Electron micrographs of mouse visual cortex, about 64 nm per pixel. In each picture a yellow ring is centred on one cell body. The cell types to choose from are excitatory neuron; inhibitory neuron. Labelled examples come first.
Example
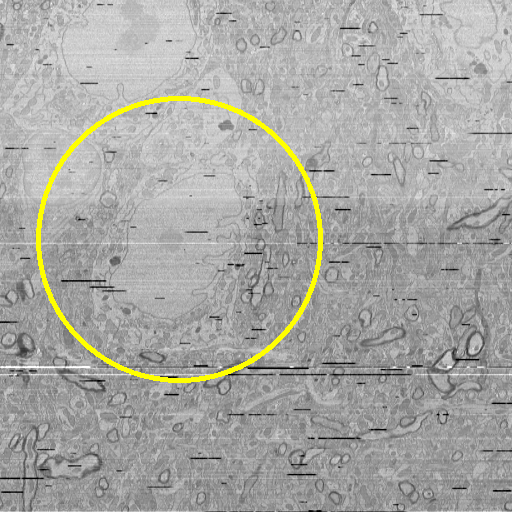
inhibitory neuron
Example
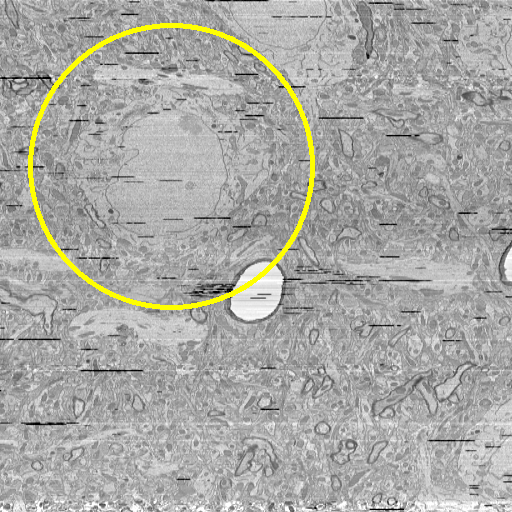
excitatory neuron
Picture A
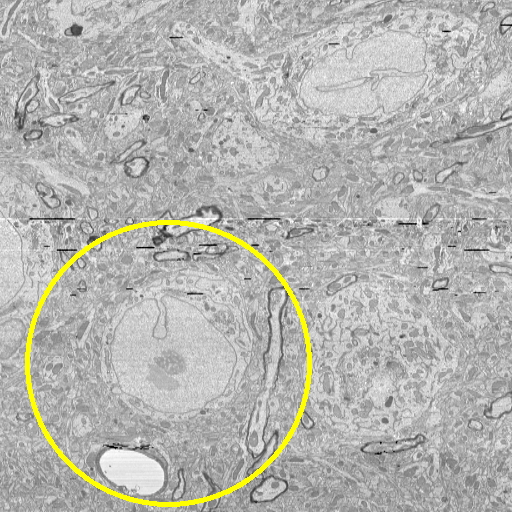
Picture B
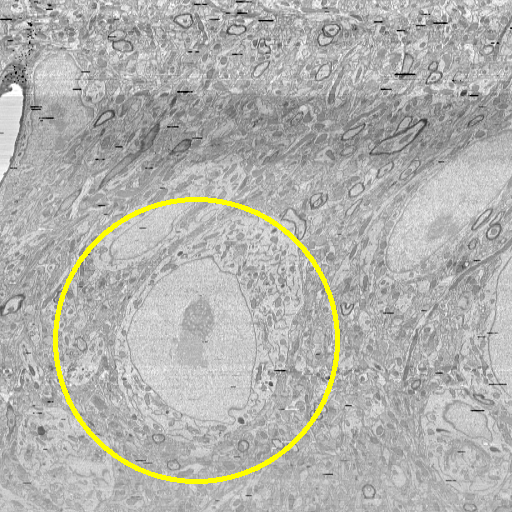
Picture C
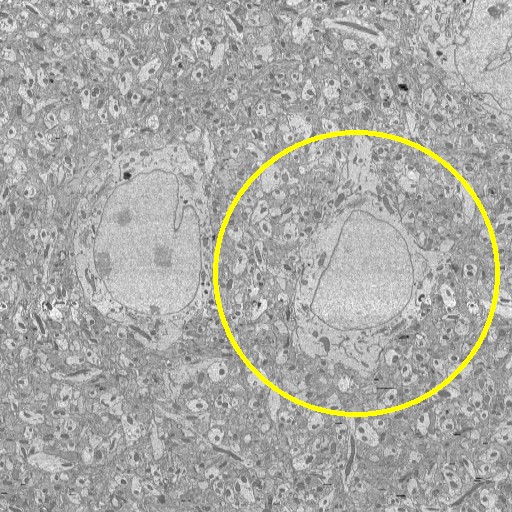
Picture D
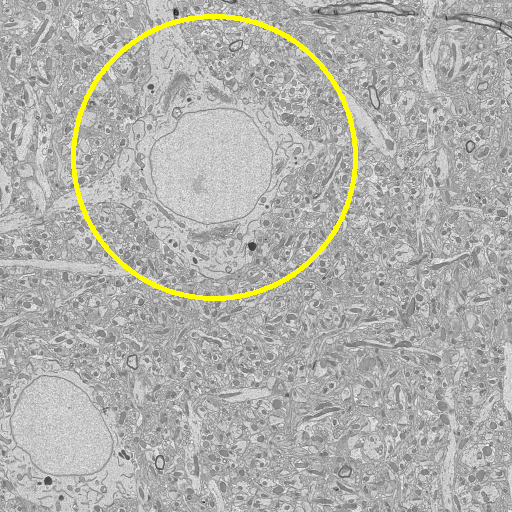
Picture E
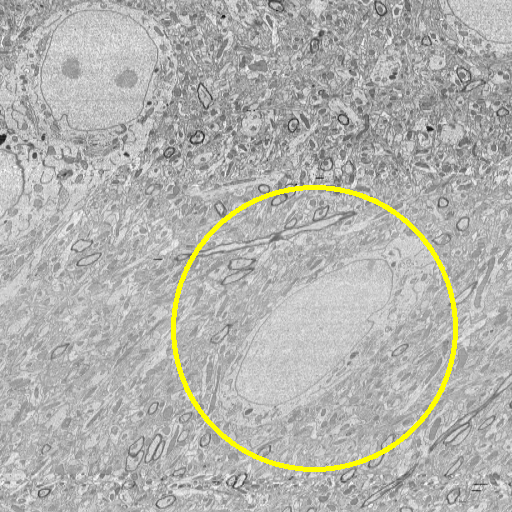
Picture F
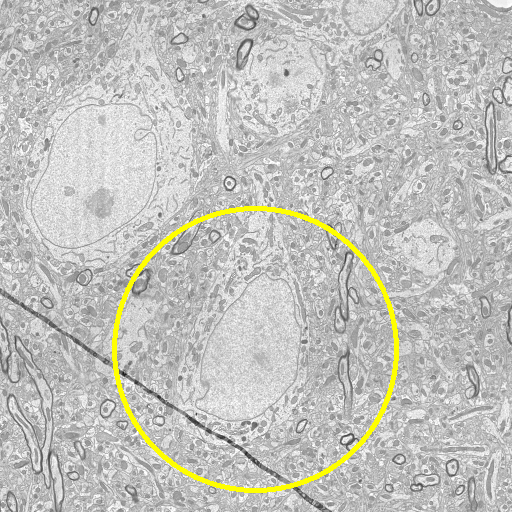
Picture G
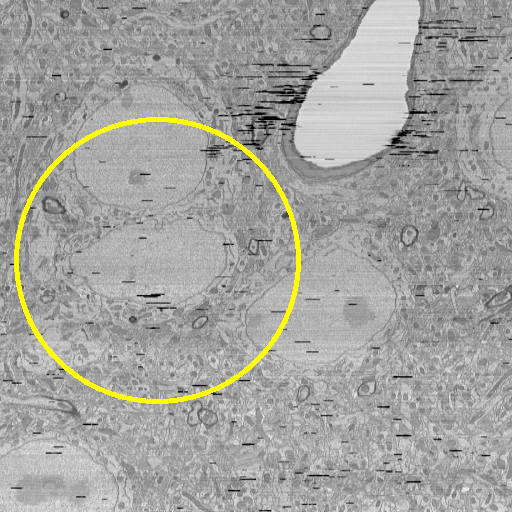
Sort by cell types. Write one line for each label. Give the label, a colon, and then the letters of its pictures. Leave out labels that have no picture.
excitatory neuron: C, D, E
inhibitory neuron: A, B, F, G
